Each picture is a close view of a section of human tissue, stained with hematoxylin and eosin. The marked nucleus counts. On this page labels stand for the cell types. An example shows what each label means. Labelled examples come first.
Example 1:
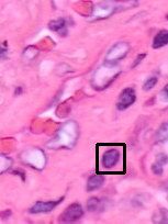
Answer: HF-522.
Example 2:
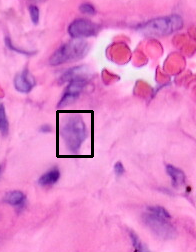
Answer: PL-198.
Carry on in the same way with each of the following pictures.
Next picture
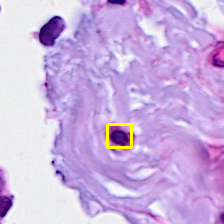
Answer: HF-522.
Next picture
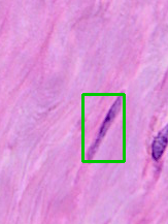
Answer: PL-198.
